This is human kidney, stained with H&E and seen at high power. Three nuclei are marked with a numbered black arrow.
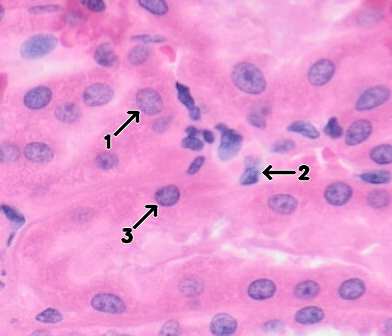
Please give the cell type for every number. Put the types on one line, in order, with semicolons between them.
proximal tubule cell; endothelial cell; proximal tubule cell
